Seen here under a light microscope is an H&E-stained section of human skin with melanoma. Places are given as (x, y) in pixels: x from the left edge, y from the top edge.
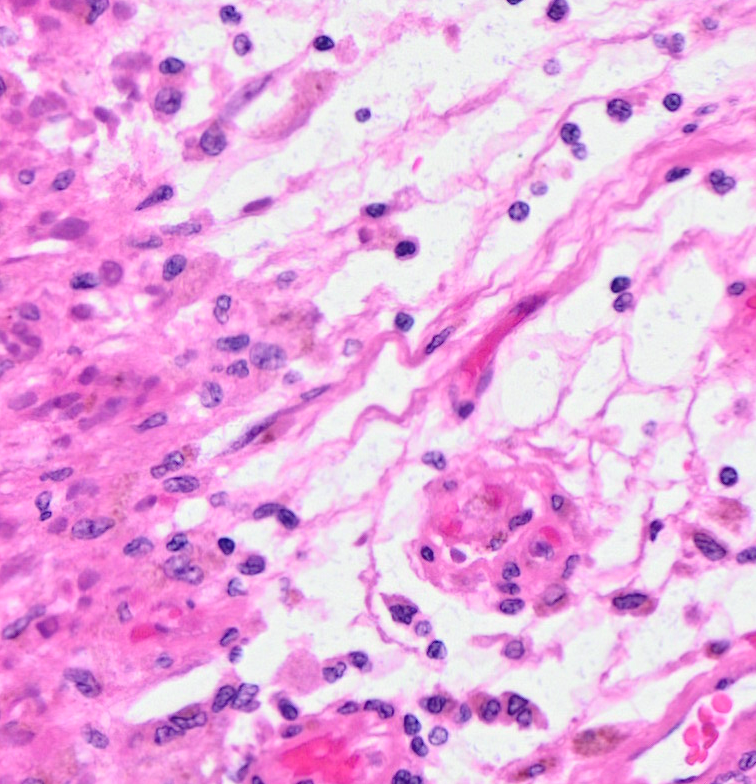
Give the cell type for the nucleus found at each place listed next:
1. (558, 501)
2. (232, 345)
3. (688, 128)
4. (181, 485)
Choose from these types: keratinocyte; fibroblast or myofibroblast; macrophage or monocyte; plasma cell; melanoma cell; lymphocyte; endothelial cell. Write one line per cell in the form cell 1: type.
cell 1: macrophage or monocyte
cell 2: macrophage or monocyte
cell 3: lymphocyte
cell 4: macrophage or monocyte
